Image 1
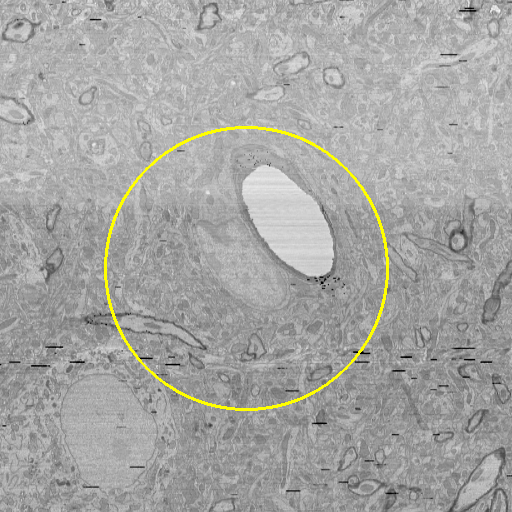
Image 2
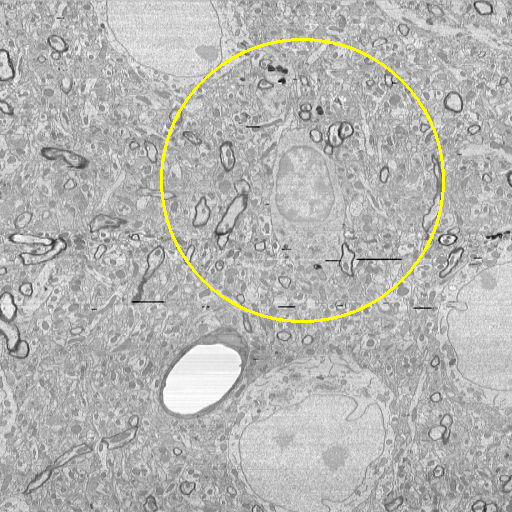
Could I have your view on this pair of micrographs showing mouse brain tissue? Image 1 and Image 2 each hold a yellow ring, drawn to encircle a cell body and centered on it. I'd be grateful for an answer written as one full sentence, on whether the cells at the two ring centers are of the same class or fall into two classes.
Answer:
The cells at the centers of the two rings are of the same class.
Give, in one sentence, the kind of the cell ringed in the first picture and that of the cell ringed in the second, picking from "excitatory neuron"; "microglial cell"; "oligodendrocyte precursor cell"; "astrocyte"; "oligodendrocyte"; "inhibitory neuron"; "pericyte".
In the first picture and in the second, the ring is centred on an oligodendrocyte.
